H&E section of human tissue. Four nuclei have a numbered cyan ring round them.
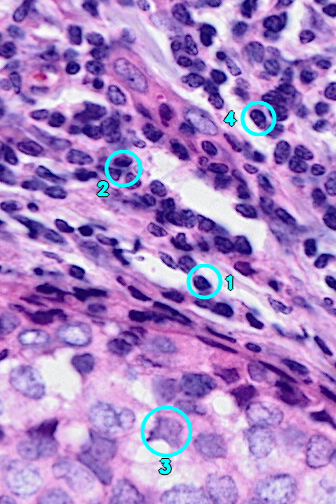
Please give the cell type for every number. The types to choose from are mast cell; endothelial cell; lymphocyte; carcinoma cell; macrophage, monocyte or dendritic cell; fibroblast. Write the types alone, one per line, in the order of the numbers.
lymphocyte
lymphocyte
carcinoma cell
lymphocyte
